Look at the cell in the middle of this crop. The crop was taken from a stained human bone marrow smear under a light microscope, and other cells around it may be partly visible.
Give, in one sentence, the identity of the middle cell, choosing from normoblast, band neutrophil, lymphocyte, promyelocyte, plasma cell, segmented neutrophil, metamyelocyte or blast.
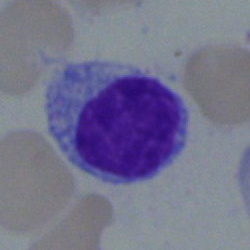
The cell marked by its central position in the crop is a lymphocyte.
